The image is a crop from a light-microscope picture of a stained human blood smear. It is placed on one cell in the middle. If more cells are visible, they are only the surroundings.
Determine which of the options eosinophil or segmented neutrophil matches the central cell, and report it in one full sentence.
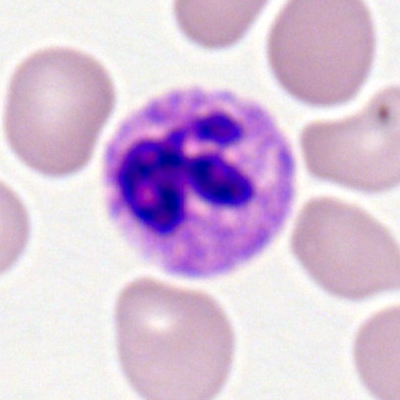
In the centre of this crop there is a segmented neutrophil.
